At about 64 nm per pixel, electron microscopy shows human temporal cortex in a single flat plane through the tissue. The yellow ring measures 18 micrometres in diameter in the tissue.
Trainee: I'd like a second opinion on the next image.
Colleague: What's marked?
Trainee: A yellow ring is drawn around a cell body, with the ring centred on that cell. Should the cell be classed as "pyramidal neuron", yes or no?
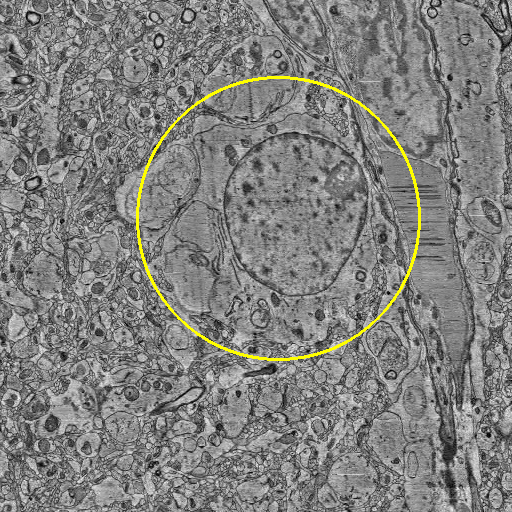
No, it should be classed as another kind.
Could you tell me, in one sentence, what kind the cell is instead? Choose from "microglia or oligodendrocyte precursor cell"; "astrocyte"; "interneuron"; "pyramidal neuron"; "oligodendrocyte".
The cell at the ring centre is an astrocyte.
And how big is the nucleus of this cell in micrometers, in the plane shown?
In this plane the nucleus spans approximately 11 by 9 micrometers.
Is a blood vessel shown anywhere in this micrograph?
Yes, one appears.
